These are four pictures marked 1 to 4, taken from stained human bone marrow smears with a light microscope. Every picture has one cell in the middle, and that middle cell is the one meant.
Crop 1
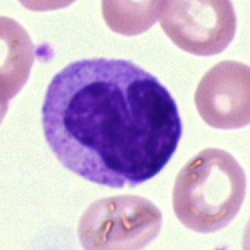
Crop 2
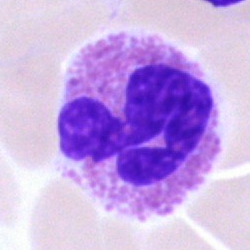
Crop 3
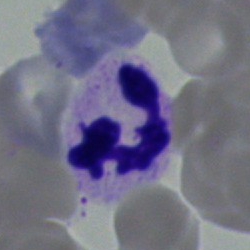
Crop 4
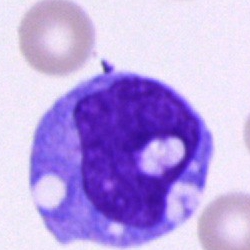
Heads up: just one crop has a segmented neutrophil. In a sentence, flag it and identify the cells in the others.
At the centre of crop 3 lies a segmented neutrophil, while crop 1 is a band neutrophil, crop 2 is an eosinophil and crop 4 is a monocyte.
